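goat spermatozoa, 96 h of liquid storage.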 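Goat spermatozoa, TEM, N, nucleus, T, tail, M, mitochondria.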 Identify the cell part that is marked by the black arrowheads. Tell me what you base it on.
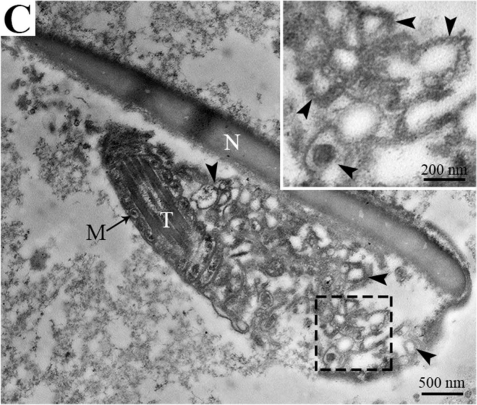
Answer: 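Numerous round membrane-bound profiles crowd the cytoplasm next to the tail. That points to this answer: double-membrane autophagosome.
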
